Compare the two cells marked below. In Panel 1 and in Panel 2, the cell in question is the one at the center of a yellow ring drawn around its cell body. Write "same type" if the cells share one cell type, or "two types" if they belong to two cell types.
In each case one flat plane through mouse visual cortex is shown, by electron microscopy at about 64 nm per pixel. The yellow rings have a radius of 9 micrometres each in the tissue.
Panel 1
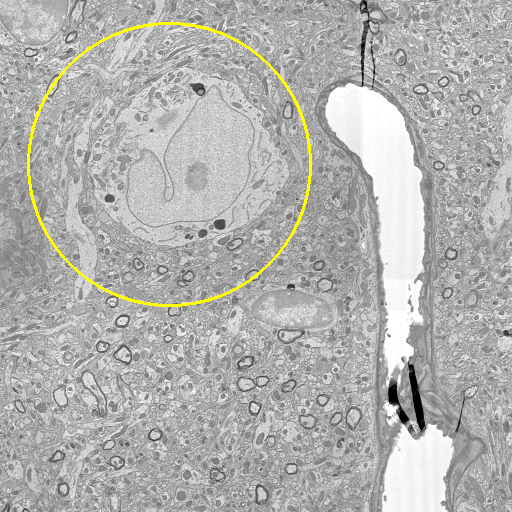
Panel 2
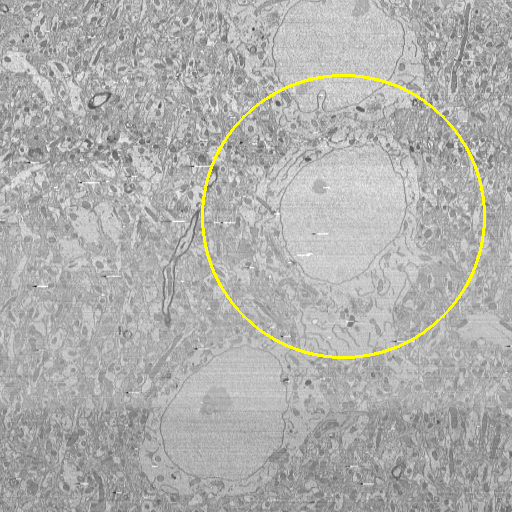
same type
